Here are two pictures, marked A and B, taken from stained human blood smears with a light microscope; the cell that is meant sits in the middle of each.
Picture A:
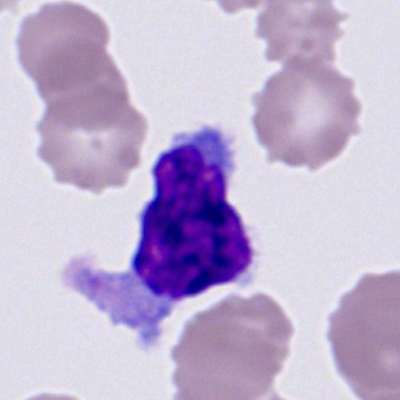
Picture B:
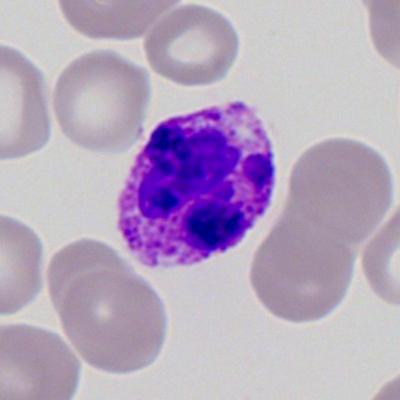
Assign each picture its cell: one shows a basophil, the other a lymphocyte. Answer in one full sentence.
In picture A the cell is a lymphocyte; in picture B, a basophil.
